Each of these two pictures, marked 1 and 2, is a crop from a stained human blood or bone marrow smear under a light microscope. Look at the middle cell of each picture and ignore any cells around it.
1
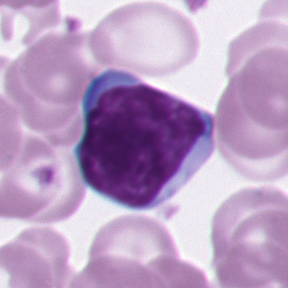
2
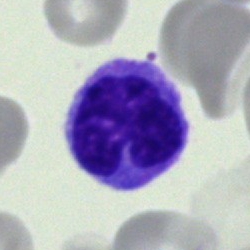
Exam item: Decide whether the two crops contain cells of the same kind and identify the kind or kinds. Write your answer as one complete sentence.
No, crop 1 depicts a lymphocyte, and crop 2 depicts a monocyte.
